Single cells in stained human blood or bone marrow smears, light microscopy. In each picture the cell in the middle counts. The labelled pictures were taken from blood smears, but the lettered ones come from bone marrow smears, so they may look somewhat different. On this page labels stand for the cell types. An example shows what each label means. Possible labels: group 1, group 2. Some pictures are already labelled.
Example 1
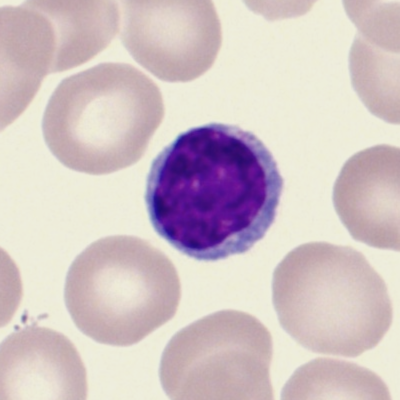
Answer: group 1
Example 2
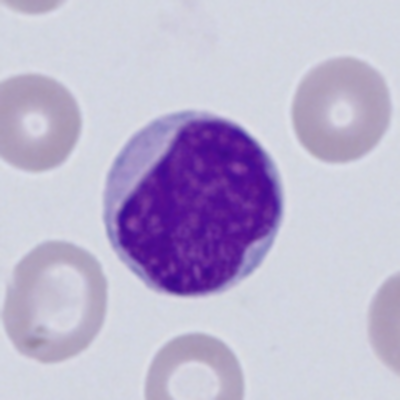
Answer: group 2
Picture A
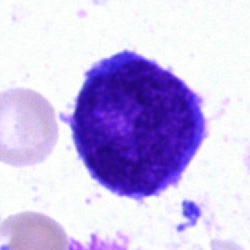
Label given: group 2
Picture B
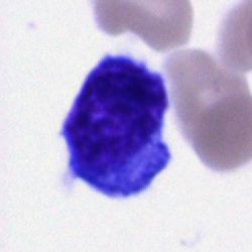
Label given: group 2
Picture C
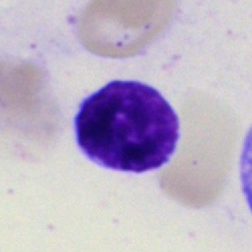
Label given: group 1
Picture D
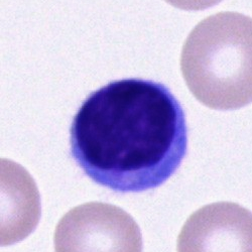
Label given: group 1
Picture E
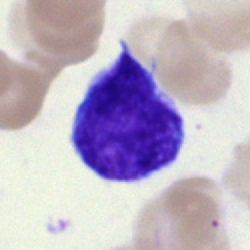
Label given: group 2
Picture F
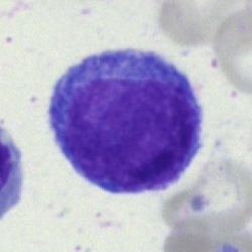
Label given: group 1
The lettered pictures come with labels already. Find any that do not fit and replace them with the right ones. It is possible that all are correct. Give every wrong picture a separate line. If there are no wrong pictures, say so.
F: change group 1 to group 2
